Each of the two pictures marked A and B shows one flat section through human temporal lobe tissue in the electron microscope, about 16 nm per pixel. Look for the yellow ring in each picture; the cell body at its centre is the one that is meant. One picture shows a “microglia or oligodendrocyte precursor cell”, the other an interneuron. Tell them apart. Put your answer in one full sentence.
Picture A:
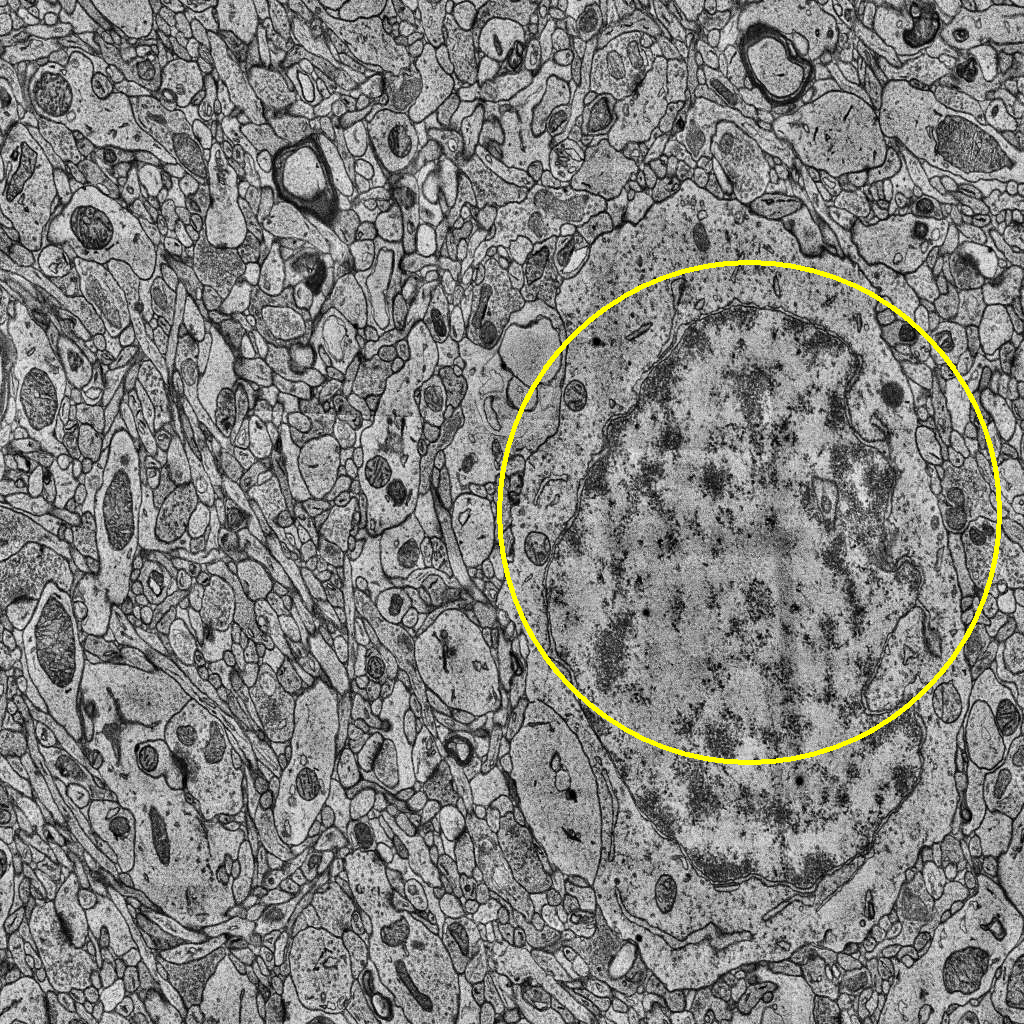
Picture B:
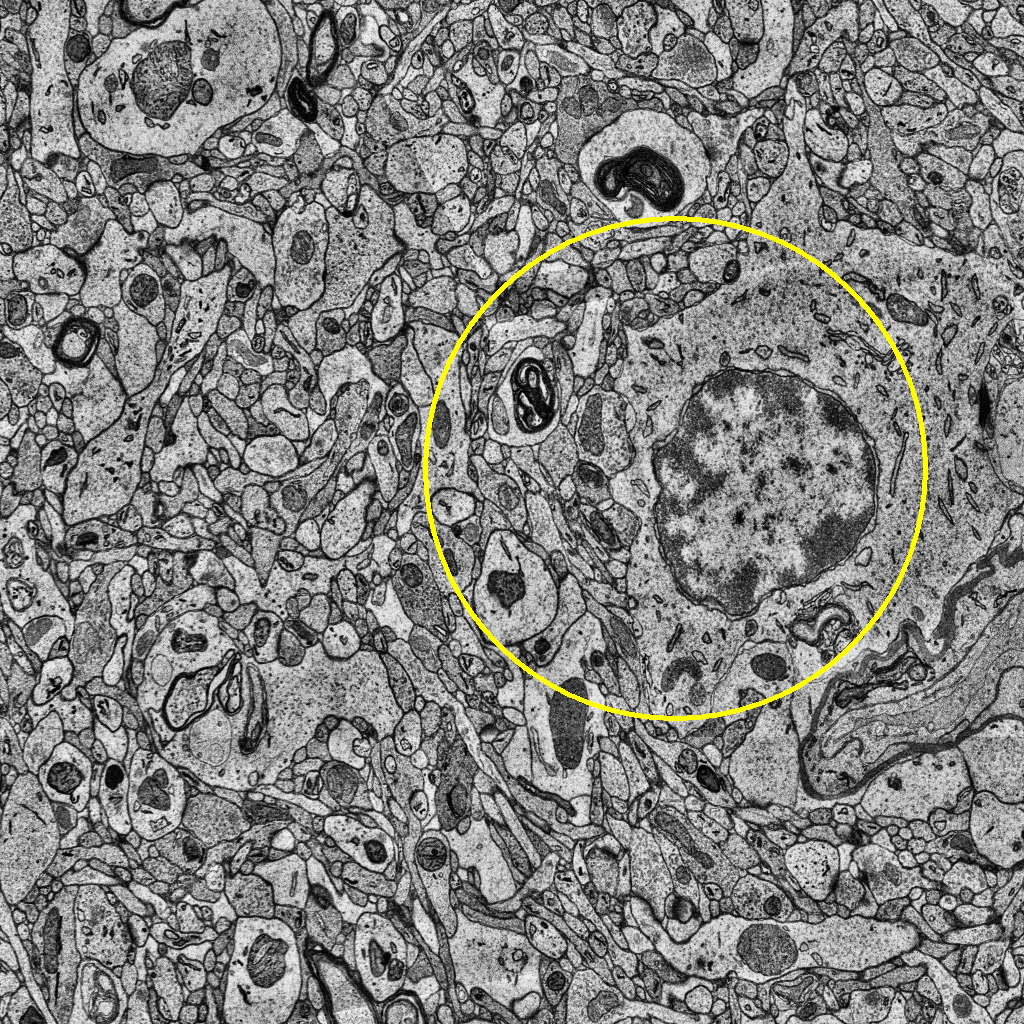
It is picture A that shows an interneuron, and picture B that shows a “microglia or oligodendrocyte precursor cell”.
